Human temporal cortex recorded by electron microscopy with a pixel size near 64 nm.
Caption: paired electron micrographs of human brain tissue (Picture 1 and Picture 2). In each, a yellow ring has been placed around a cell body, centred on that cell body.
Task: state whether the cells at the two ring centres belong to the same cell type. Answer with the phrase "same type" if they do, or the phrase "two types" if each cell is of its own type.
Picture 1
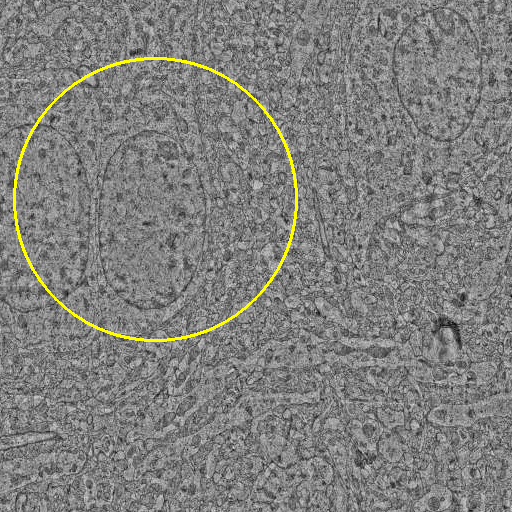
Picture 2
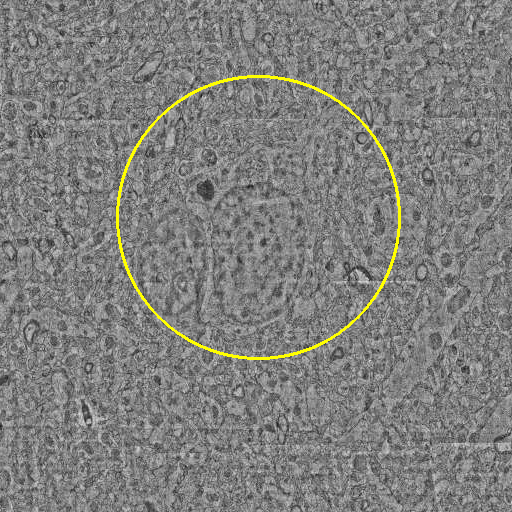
two types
